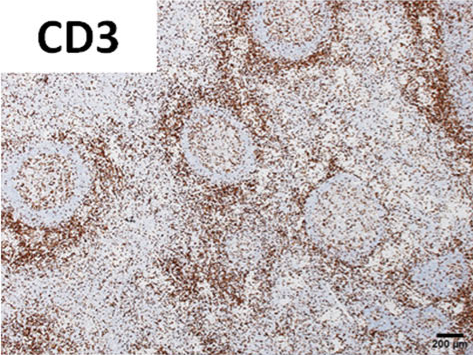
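Lymphoid tissue at low magnification with several round follicles separated by an interfollicular area. The interfollicular area is densely packed with small brown-stained cells. The round follicles are largely pale blue and unstained, with only scattered brown cells within them, making them stand out as clear circles.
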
